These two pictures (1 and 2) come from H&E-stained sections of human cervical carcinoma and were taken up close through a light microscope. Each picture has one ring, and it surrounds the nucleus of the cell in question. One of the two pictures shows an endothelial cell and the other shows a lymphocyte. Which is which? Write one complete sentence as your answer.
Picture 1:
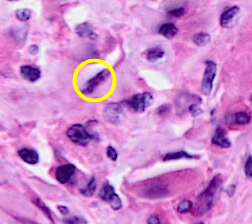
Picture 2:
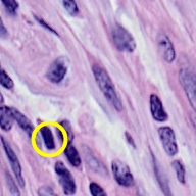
The cell in picture 1 is an endothelial cell, and the one in picture 2 is a lymphocyte.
